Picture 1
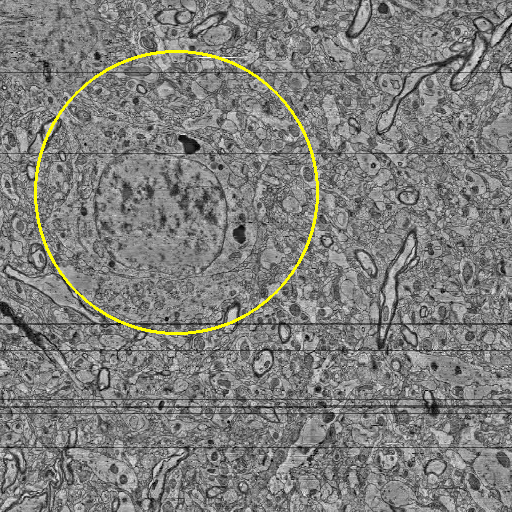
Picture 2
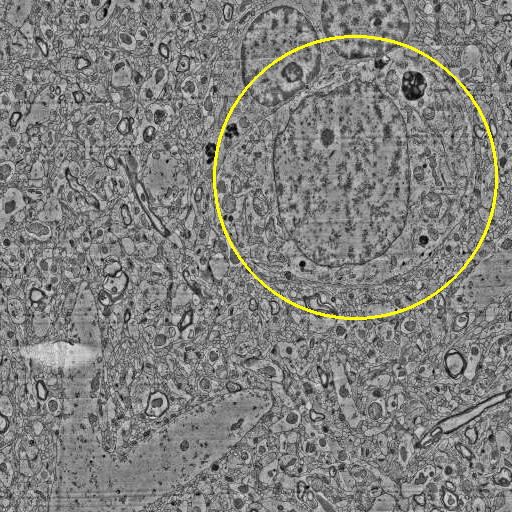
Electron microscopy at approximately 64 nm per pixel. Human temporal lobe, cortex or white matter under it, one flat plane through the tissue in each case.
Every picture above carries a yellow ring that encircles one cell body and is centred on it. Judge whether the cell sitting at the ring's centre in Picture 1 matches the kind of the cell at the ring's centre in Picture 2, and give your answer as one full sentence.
Yes, the cells centred in the rings of Pictures 1 and 2 belong to one kind.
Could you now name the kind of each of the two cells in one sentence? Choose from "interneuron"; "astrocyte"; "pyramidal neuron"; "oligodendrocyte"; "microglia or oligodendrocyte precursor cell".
Each cell, in the first picture and the second, is an interneuron.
